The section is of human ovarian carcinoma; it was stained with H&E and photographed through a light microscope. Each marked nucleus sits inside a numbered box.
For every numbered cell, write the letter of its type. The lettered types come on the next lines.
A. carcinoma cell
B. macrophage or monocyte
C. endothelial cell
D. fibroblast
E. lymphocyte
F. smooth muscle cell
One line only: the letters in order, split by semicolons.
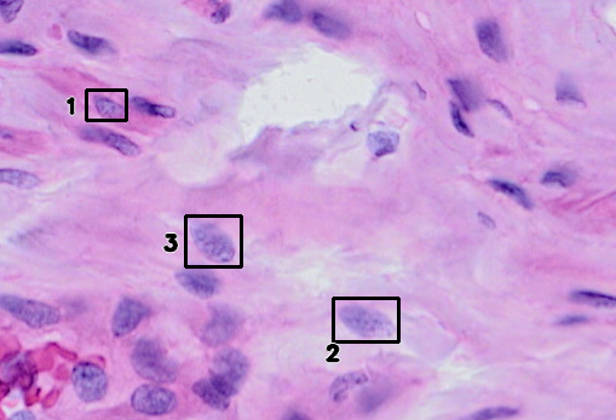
F; D; D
